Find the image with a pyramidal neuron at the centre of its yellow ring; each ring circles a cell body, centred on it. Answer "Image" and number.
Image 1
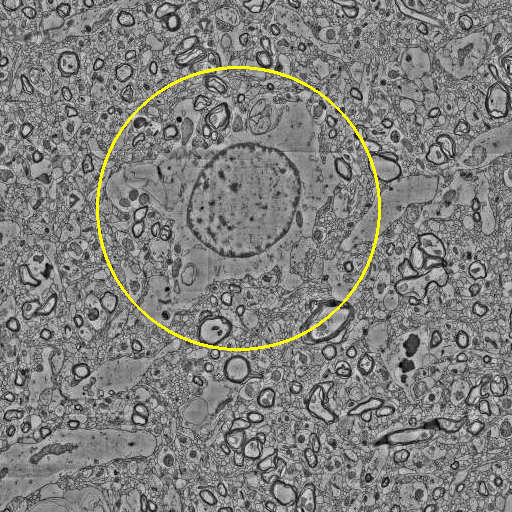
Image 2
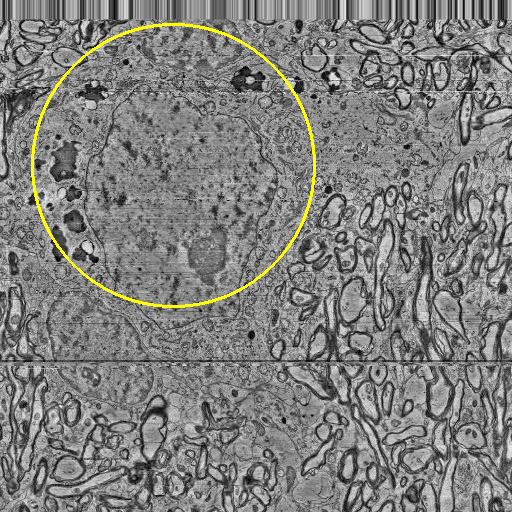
Image 2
